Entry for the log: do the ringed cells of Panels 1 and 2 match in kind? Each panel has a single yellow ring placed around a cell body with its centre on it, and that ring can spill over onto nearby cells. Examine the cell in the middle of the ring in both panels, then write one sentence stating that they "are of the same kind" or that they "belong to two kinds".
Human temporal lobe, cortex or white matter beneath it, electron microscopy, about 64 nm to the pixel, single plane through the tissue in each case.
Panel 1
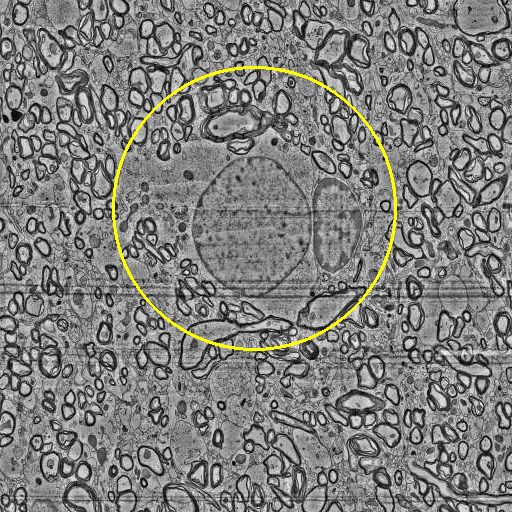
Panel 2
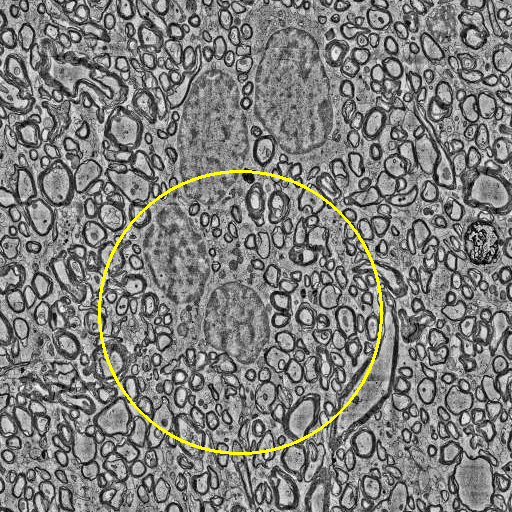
The centre cell of Panel 1's ring and that of Panel 2's ring belong to two kinds.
